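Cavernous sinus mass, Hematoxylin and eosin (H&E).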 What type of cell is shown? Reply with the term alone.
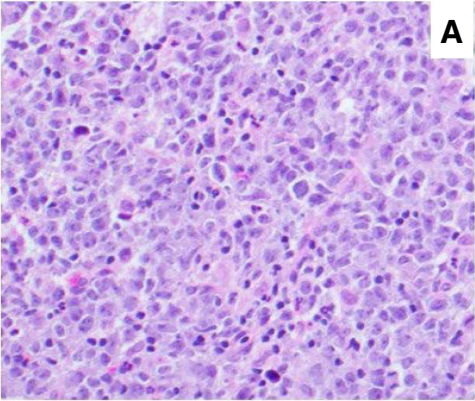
Large lymphocytes.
